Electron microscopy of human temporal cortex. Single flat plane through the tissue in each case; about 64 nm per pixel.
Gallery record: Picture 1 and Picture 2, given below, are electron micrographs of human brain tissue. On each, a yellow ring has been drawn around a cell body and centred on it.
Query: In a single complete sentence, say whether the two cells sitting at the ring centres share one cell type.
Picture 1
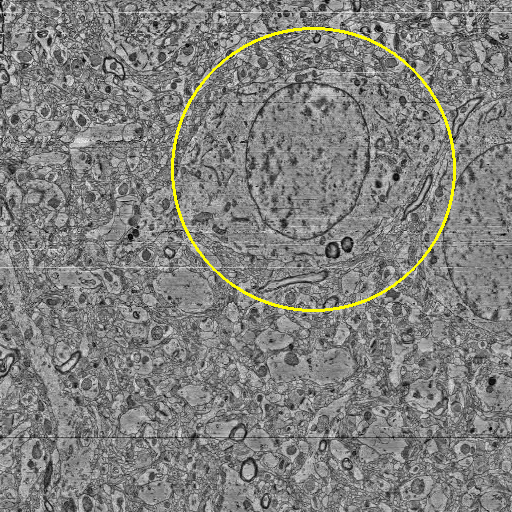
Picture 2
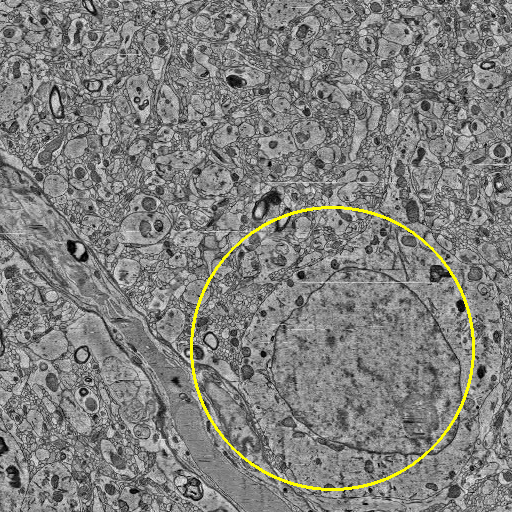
Yes, in both pictures the cell at the ring's centre is of one and the same type.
